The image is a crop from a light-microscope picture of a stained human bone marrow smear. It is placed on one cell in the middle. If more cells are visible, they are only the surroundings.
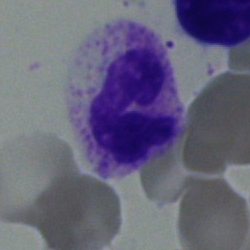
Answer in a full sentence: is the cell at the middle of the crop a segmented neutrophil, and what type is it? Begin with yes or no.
No, the cell at the centre is categorised not as a segmented neutrophil but as a band neutrophil.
